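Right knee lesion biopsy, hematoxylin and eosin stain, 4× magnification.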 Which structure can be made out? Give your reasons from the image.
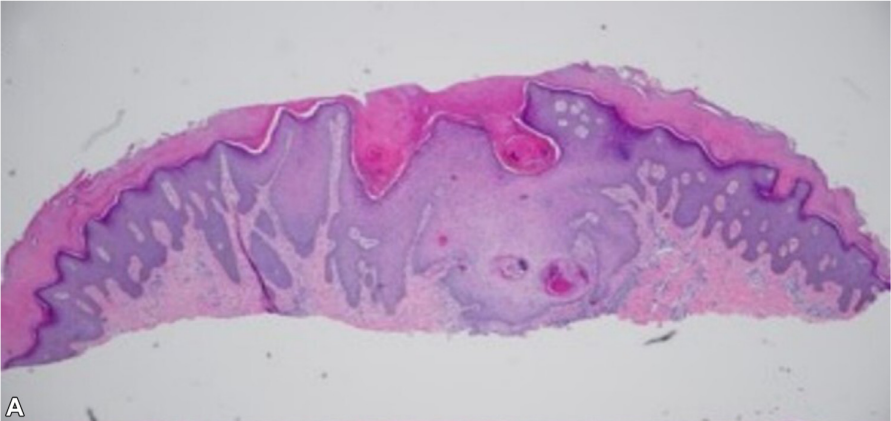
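The central epidermis dips down into the dermis as a broad, cup-like mass of squamous epithelium. Pink keratin fills the upper opening of the invagination. Epidermis on both sides is thickened with elongated rete ridges.
Conclusion: cup-shaped invagination of the epidermis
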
